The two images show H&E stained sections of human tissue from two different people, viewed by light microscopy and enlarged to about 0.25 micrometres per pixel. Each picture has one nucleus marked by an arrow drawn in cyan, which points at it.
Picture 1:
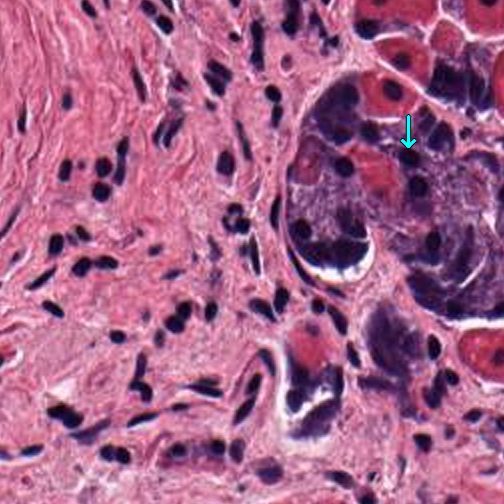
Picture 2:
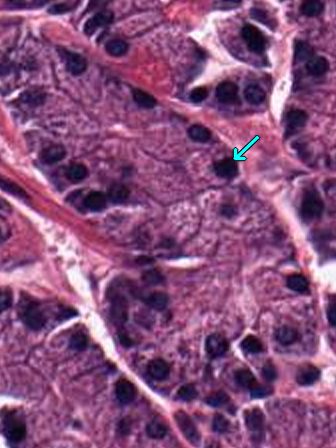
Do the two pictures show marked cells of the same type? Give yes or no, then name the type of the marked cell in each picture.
Yes, both are chief cells.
